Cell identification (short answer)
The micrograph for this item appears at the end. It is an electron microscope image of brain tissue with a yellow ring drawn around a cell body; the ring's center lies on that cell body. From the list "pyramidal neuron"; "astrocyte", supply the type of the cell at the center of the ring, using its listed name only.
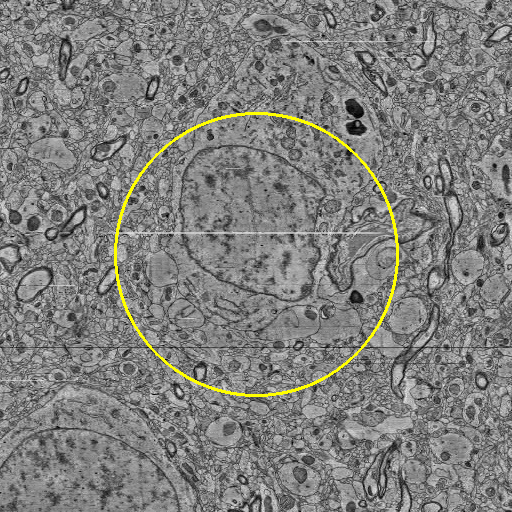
pyramidal neuron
